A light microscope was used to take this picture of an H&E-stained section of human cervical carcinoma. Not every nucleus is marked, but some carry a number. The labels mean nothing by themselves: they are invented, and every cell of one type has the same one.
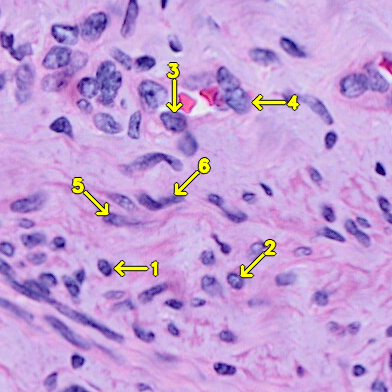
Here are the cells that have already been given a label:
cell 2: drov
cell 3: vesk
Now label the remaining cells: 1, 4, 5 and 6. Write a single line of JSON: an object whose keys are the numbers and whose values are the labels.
{"1": "drov", "4": "vesk", "5": "drov", "6": "drov"}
